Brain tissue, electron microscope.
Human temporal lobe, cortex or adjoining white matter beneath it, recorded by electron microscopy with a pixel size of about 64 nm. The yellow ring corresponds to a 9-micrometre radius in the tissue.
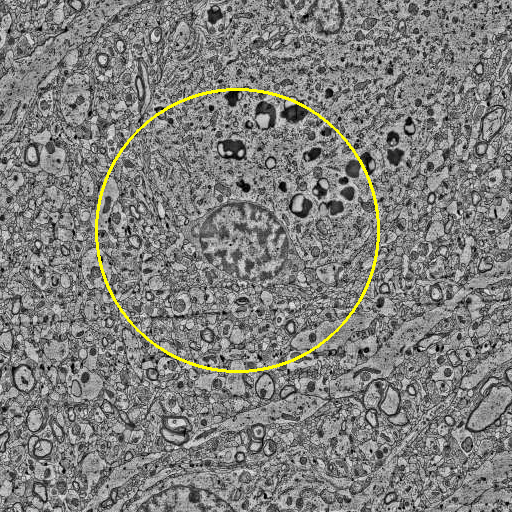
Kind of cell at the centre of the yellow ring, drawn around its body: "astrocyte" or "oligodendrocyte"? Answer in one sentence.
The ring's centre falls on an oligodendrocyte.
